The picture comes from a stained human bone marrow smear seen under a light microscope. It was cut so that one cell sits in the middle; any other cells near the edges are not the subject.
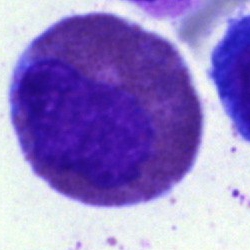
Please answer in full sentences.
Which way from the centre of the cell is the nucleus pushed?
Toward the lower left of the cell lies its nucleus.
